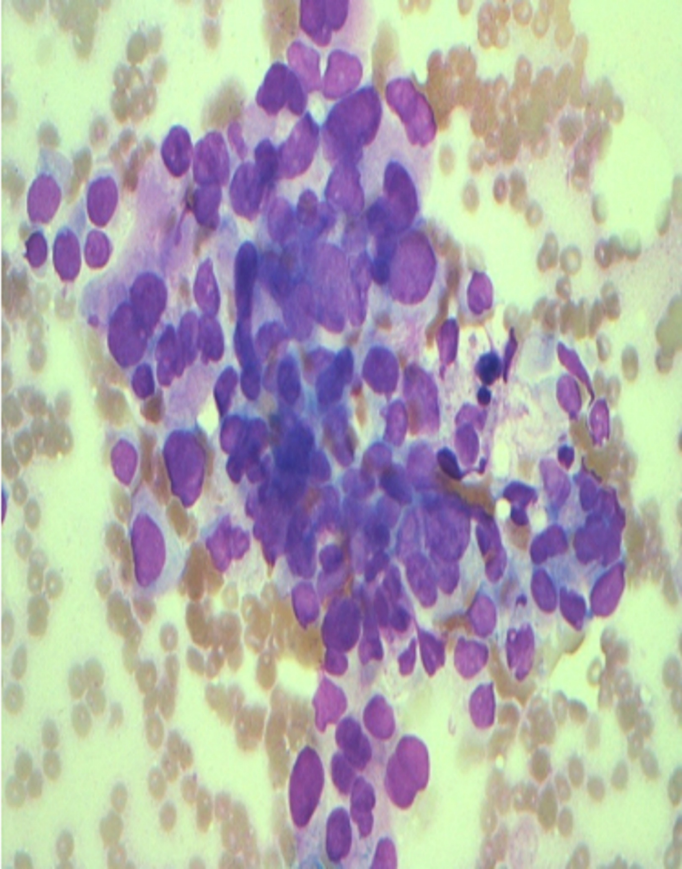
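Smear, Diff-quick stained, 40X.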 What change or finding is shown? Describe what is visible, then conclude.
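Purple nuclei in the central cluster pile on one another. The cluster is densely crowded compared with the scattered cells at its edges. On this evidence: nuclear overlapping.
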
